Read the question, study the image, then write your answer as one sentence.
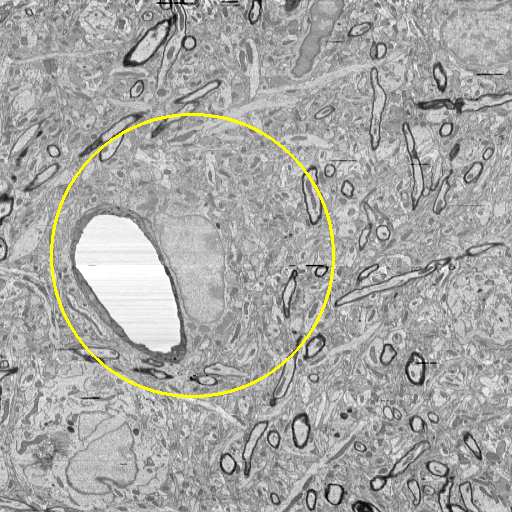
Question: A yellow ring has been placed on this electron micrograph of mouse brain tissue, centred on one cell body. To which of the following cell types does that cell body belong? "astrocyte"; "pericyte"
That cell body belongs to an astrocyte.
